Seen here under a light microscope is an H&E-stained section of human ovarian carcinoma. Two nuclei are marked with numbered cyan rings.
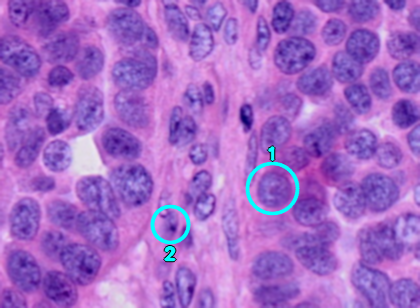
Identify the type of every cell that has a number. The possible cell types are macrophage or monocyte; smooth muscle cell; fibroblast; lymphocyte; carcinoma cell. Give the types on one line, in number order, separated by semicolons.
carcinoma cell; fibroblast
